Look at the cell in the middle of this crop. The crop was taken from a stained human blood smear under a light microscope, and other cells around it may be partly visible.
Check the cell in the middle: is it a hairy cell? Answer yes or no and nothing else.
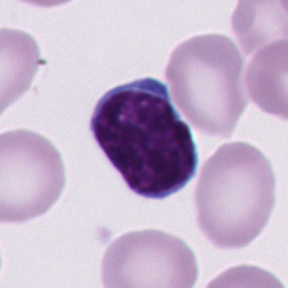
no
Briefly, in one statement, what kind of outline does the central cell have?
The edge of the cell is unbroken and smooth, bearing no projections.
